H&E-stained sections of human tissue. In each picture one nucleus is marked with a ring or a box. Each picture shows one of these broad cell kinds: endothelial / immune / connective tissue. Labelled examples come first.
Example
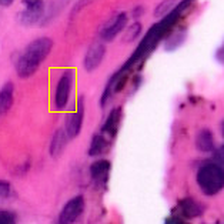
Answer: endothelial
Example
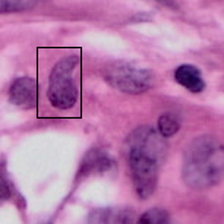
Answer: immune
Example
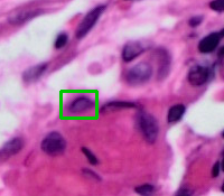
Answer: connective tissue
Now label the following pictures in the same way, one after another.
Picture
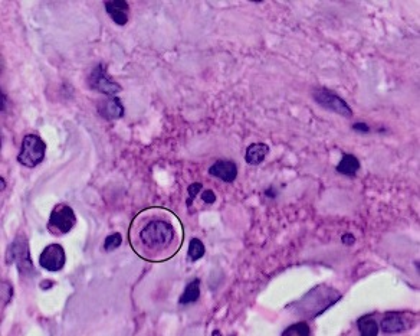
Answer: immune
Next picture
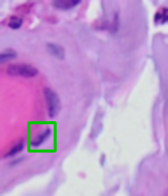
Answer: connective tissue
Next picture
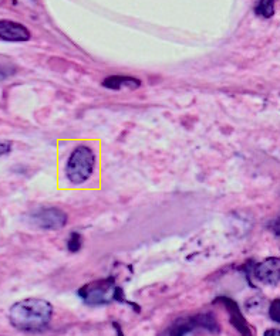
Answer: immune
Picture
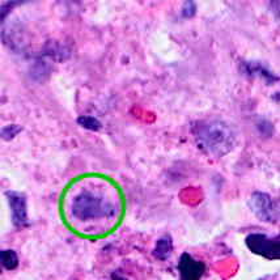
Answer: immune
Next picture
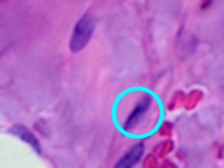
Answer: connective tissue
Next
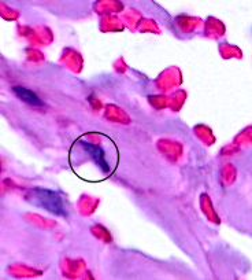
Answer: connective tissue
